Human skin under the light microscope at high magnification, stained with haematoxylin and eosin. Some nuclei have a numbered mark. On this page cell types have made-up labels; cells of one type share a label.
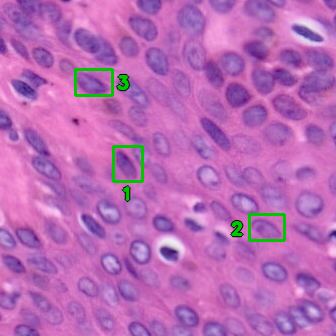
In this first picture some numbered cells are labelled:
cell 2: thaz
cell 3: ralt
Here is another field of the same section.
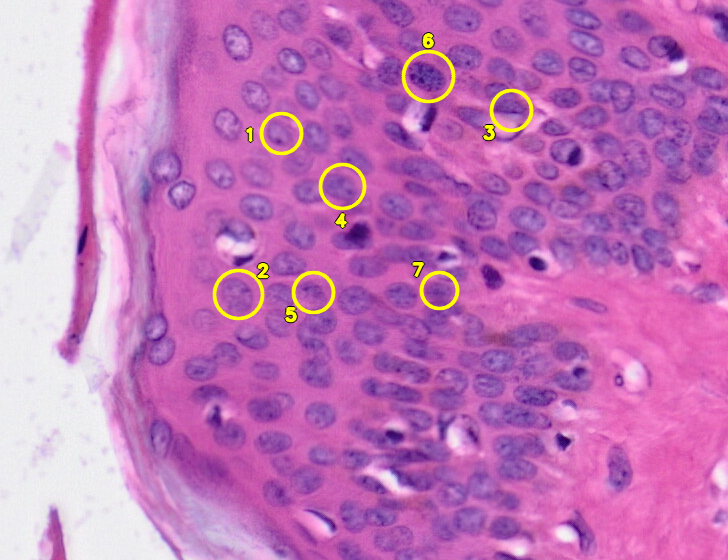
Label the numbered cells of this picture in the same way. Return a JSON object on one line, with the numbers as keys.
{"1": "thaz", "2": "thaz", "3": "ralt", "4": "thaz", "5": "thaz", "6": "ralt", "7": "ralt"}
